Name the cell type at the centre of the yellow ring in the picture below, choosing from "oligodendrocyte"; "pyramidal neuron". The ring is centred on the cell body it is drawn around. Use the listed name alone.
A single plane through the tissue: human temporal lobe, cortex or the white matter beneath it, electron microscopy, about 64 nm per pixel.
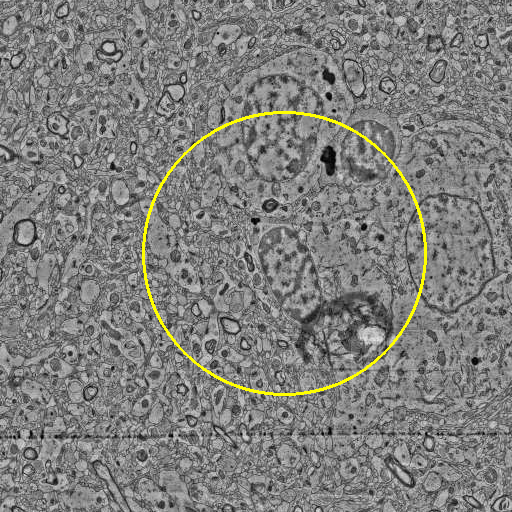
oligodendrocyte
